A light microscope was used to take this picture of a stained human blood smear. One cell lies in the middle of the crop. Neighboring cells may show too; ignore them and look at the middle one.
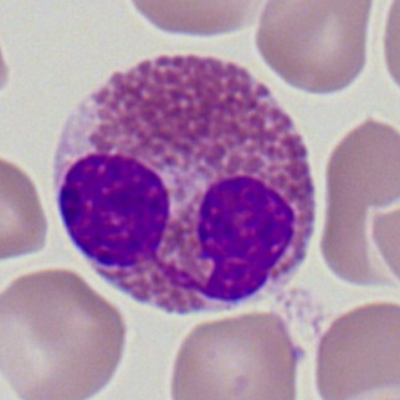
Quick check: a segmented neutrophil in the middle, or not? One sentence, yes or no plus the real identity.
No, an eosinophil rather than a segmented neutrophil is the cell at the centre of the crop.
